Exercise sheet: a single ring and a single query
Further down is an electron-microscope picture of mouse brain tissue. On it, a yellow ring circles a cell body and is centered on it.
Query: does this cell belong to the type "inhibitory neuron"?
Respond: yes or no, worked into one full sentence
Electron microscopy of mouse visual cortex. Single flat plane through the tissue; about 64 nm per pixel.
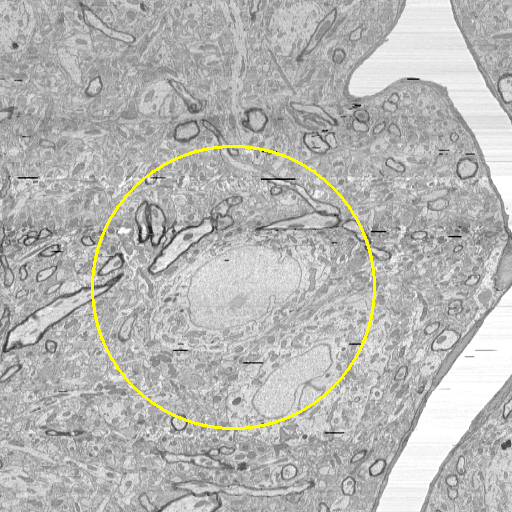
Yes, this ringed cell, found at the center of the ring in the picture, is of that type.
